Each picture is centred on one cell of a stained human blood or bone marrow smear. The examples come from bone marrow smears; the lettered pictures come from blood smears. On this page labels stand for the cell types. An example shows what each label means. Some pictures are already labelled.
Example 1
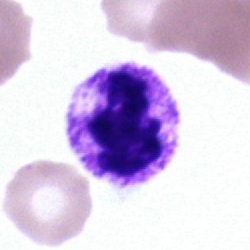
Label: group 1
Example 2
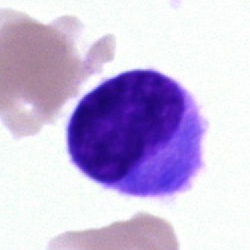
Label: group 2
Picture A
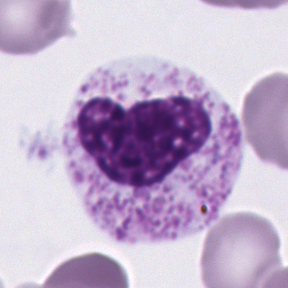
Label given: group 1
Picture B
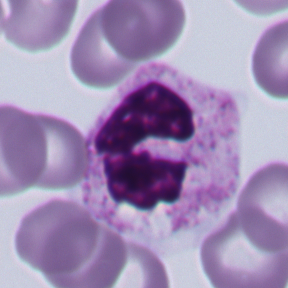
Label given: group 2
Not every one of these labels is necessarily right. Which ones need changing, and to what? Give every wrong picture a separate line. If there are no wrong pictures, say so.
Wrong: B (group 2); correct: group 1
